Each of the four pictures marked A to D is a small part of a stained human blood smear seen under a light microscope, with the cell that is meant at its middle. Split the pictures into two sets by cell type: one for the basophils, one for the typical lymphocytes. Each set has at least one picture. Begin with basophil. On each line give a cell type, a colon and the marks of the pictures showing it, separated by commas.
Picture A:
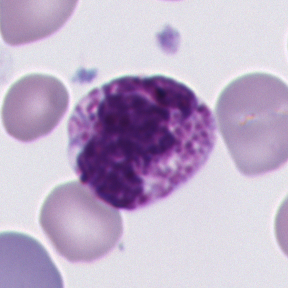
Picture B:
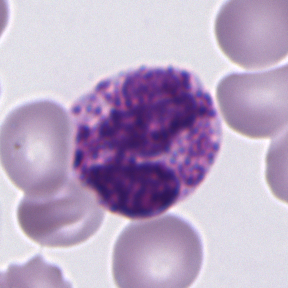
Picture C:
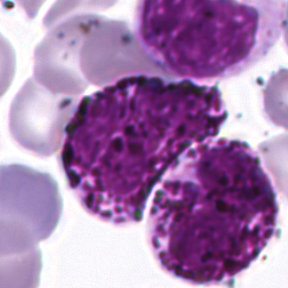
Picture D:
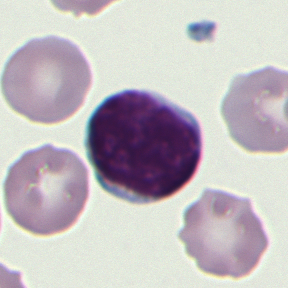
basophil: A, B, C
typical lymphocyte: D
